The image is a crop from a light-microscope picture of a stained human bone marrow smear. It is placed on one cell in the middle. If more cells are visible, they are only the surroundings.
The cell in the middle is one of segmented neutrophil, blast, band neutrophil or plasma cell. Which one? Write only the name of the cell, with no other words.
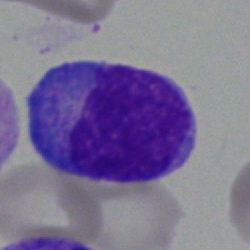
blast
